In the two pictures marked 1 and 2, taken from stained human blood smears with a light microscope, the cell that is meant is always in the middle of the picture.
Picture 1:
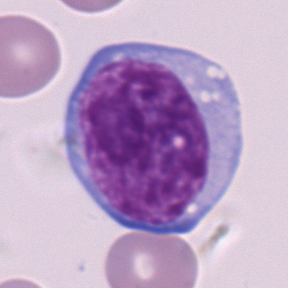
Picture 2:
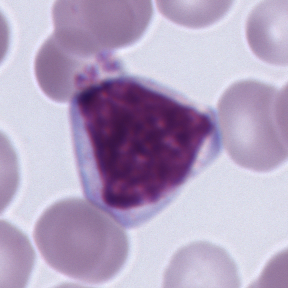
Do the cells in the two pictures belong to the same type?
no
